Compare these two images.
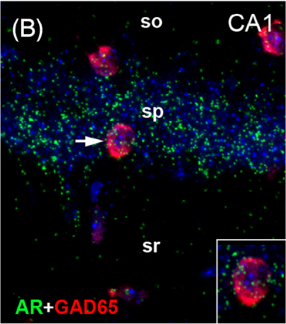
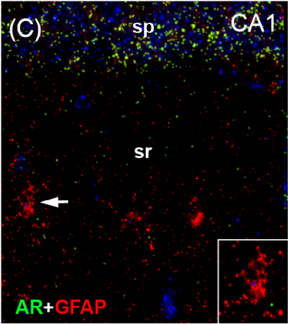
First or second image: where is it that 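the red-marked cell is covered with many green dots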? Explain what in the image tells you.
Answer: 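The first image. Second image: the inset red branched cell carries few or no green dots. First image: the inset round red cell is dotted with green puncta.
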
